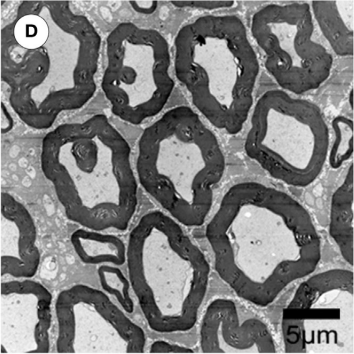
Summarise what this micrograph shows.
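Profiles are round to irregular and vary in size, with a few small ones among larger ones. Narrow grey endoneurial space separates the fibres.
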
